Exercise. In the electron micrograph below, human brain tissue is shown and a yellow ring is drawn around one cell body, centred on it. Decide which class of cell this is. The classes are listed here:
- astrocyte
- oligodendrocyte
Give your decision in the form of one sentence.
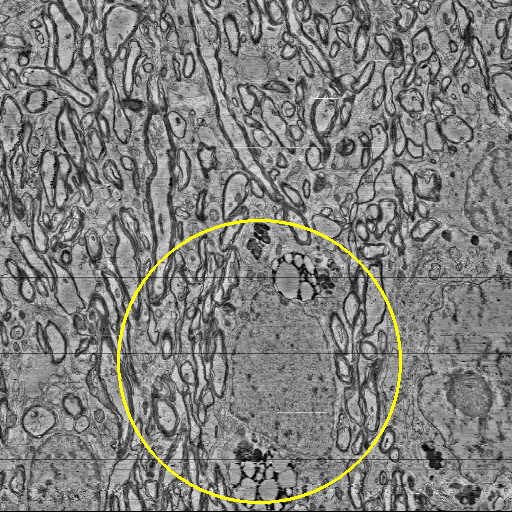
The cell body marked by the ring belongs to an astrocyte.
